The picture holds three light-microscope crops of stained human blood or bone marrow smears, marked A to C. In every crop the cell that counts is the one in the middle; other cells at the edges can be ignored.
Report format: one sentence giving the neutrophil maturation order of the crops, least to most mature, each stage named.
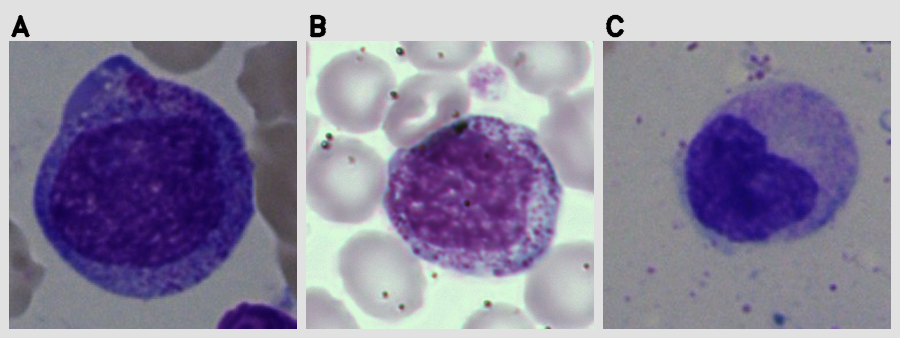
The correct order from least to most mature is crop A (a promyelocyte), crop B (a myelocyte) and crop C (a metamyelocyte).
